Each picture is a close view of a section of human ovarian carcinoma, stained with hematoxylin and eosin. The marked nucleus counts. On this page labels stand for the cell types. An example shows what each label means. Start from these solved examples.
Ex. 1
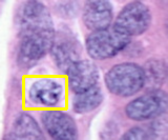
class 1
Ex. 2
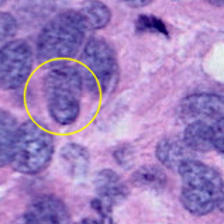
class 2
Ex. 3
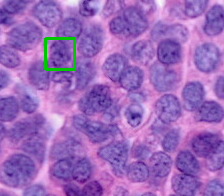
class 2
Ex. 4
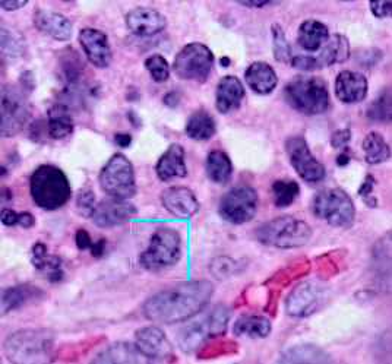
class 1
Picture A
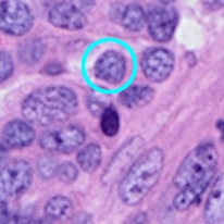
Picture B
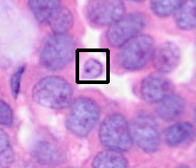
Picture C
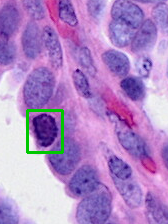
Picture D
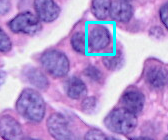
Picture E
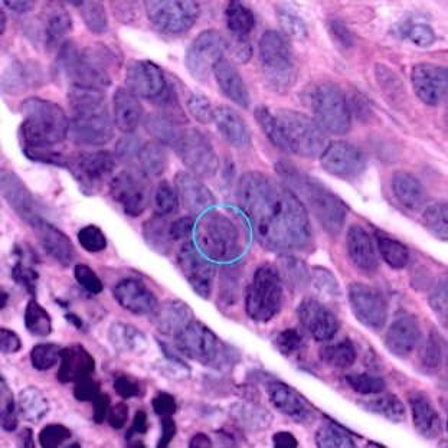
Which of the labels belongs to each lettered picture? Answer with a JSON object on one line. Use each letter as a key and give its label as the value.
{"A": "class 2", "B": "class 1", "C": "class 2", "D": "class 2", "E": "class 2"}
